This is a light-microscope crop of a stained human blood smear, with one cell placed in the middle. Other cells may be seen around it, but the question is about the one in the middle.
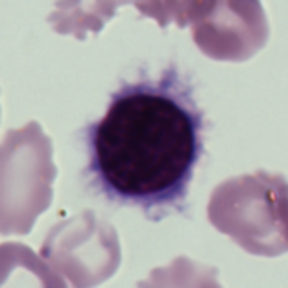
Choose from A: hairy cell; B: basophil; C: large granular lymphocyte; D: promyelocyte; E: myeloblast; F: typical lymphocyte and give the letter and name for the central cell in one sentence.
Occupying the middle of the crop is a hairy cell, hence option A is correct.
